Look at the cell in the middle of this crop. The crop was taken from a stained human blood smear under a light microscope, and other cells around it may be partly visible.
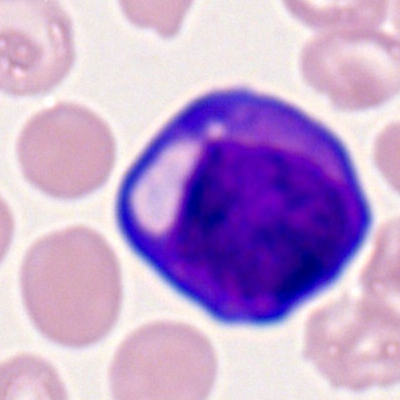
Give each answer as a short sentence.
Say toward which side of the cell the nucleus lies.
Toward the lower right of the cell lies its nucleus.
